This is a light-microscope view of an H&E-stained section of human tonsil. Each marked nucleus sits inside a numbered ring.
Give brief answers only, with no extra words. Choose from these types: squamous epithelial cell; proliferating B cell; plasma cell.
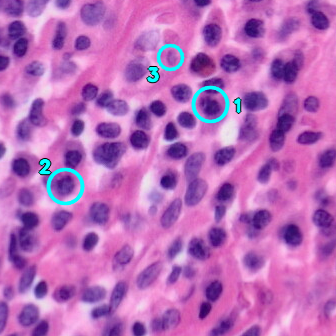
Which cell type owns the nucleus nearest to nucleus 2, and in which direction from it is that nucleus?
a plasma cell to the left of nucleus 2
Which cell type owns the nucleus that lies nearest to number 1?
plasma cell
